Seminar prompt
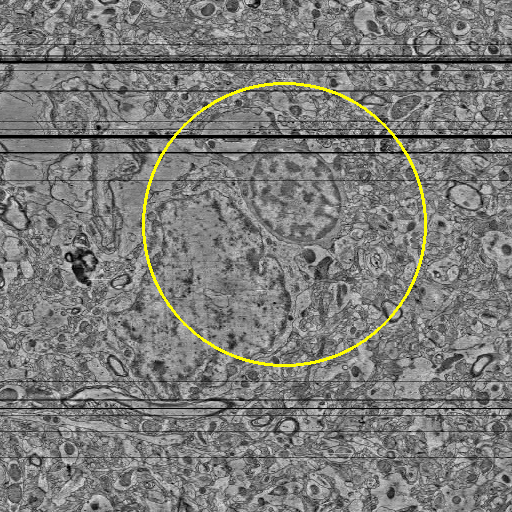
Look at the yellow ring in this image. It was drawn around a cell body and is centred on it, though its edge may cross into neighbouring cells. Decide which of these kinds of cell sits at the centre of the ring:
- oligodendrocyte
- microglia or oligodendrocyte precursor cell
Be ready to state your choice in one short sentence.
The kind of cell at the ring's centre is an oligodendrocyte.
